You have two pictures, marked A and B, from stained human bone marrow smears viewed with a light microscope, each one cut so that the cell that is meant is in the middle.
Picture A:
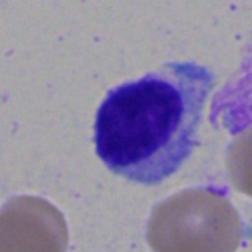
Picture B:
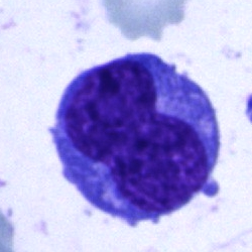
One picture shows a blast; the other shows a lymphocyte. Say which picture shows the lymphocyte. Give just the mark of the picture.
A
